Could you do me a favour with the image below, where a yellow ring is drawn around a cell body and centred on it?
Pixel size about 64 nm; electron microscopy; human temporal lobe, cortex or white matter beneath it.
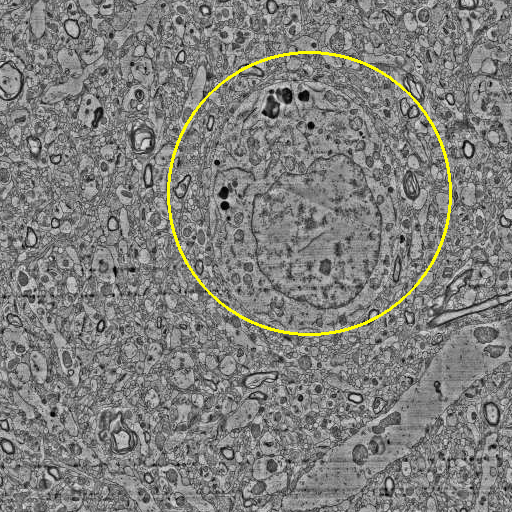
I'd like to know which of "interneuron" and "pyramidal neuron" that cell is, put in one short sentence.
The cell at the ring's centre is an interneuron.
